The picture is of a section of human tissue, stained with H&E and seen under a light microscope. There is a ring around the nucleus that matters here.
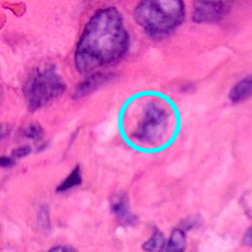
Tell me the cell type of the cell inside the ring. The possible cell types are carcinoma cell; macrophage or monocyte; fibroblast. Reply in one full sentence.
So far as cell type goes, the cell inside the ring is a fibroblast.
